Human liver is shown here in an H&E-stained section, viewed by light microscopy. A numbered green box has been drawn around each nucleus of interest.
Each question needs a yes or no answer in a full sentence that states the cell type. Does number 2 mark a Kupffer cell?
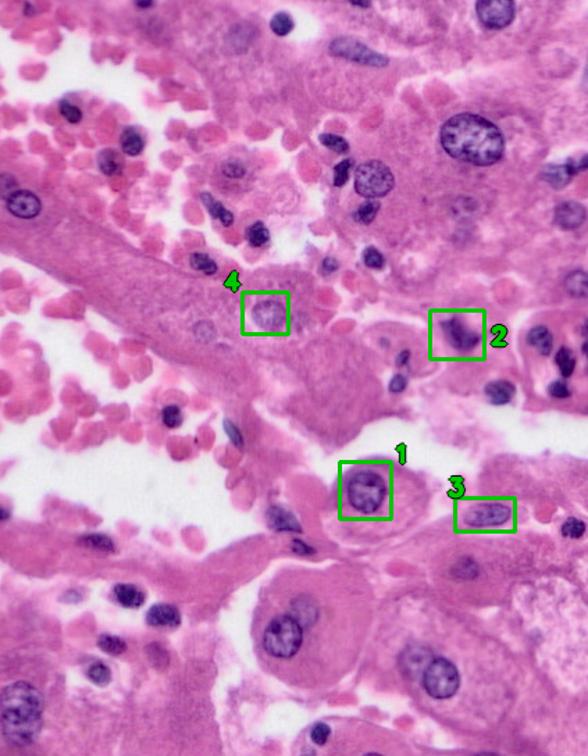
No, in terms of cell type, cell 2 is a fibroblast or stellate cell, not a Kupffer cell.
